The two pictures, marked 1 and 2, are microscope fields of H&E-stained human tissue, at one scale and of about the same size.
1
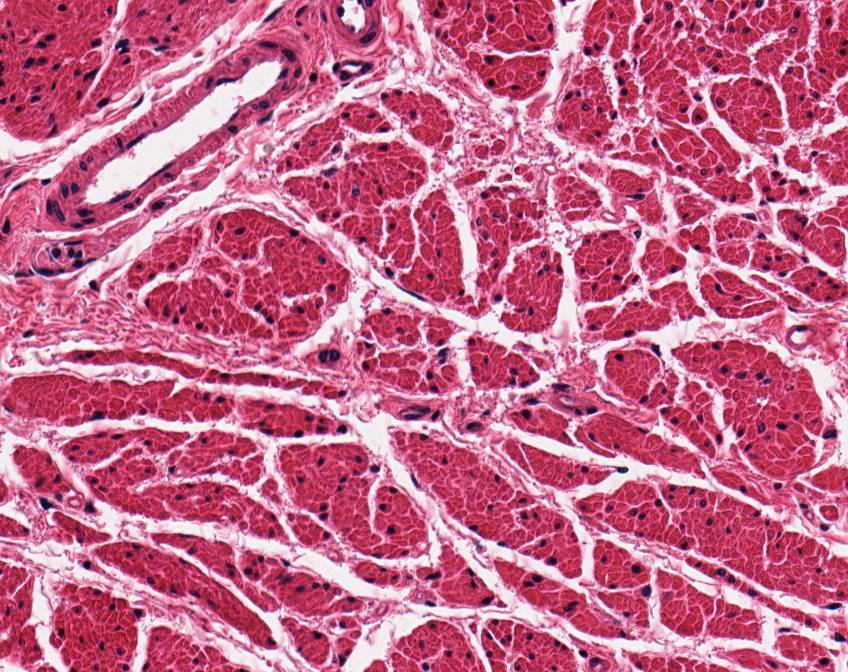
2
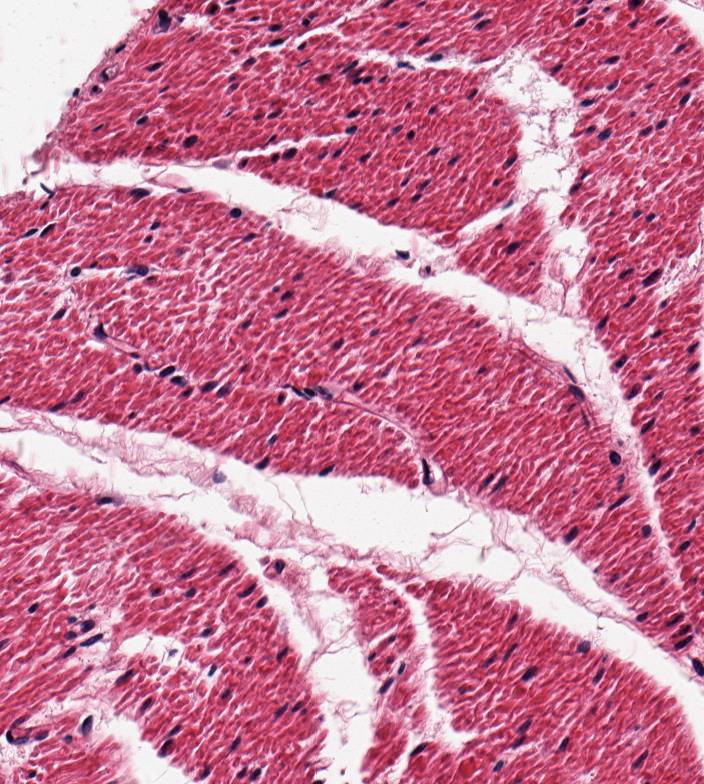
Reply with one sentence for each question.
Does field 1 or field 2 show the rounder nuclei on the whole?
It is field 1 whose nuclei are the rounder.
